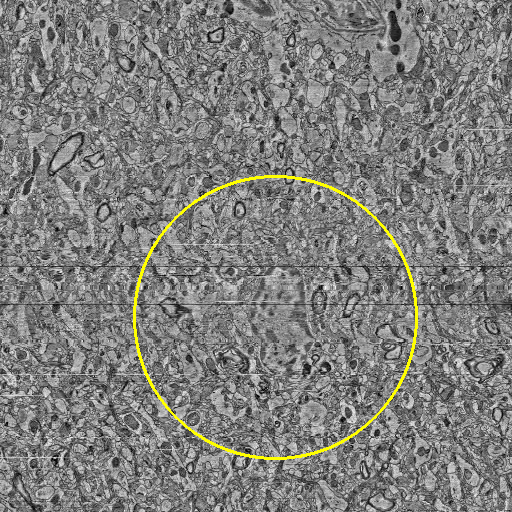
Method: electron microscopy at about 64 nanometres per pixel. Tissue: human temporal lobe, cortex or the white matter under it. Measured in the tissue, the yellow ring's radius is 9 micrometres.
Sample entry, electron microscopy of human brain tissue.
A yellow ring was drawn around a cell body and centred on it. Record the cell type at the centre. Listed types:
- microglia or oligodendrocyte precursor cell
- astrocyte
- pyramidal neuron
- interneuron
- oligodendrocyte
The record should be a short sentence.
The cell at the ring's centre is a microglial cell or oligodendrocyte precursor cell.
